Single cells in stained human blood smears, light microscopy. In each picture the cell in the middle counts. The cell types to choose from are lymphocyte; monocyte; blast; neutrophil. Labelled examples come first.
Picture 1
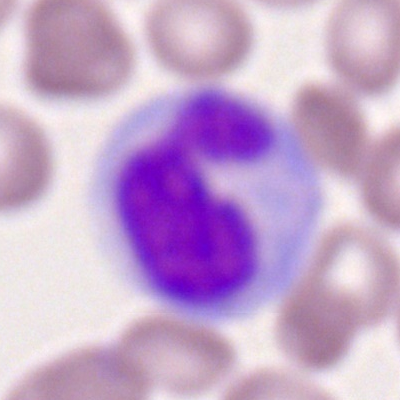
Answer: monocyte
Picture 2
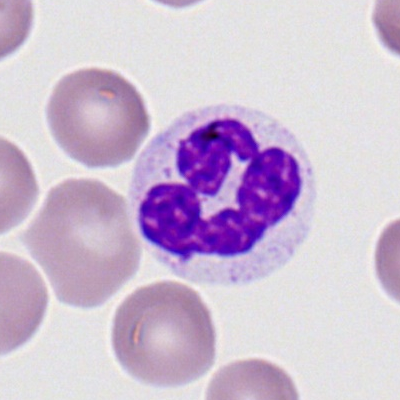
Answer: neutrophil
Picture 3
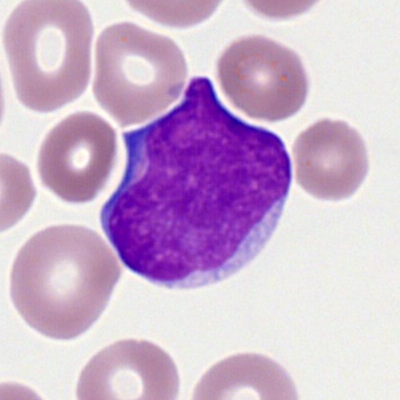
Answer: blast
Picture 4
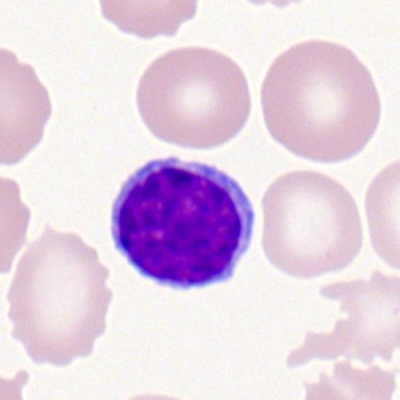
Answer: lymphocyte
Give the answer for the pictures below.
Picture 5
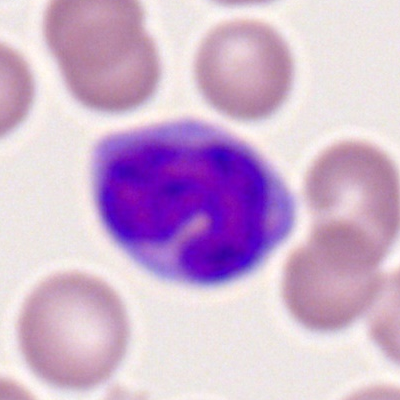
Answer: monocyte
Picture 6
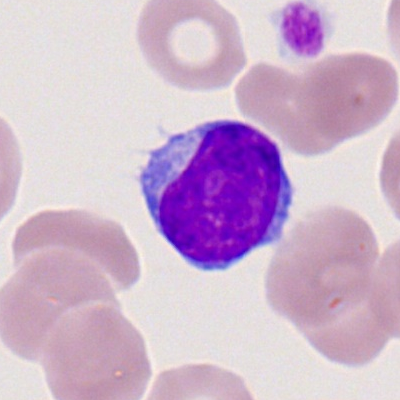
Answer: lymphocyte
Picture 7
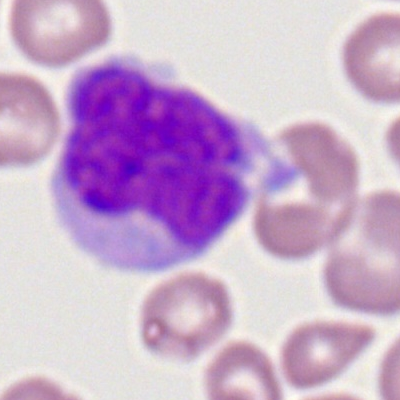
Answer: monocyte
